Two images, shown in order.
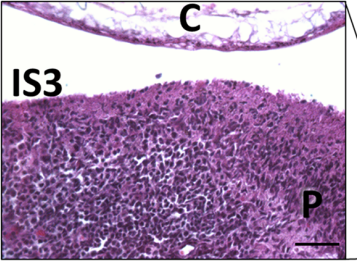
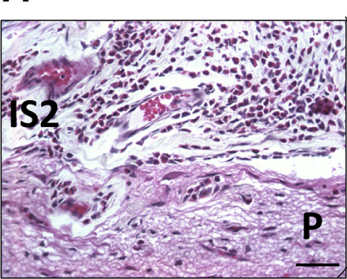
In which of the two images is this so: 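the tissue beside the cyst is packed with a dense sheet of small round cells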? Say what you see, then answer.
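First image: most of the field is filled by a dense, closely packed mass of small cells with dark nuclei. Second image: cells are scattered in loose tissue with blood vessels, with much pale space between them.
Conclusion: the first image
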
